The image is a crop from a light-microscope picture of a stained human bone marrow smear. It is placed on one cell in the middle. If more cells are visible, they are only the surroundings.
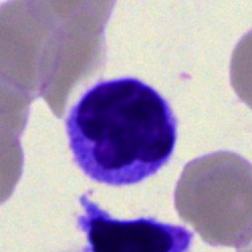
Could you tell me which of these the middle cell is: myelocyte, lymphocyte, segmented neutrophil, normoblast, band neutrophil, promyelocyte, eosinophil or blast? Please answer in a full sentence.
Among the cells in view, the one in the middle is a lymphocyte.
